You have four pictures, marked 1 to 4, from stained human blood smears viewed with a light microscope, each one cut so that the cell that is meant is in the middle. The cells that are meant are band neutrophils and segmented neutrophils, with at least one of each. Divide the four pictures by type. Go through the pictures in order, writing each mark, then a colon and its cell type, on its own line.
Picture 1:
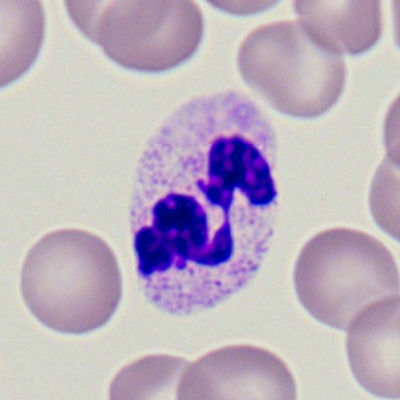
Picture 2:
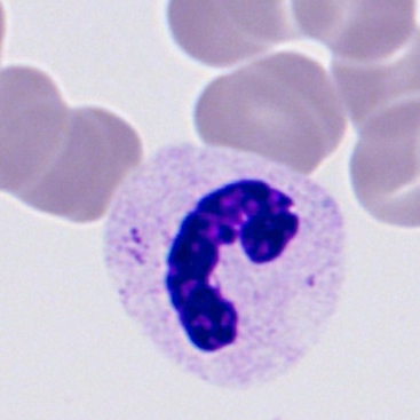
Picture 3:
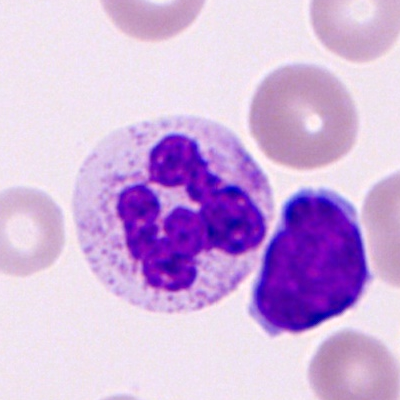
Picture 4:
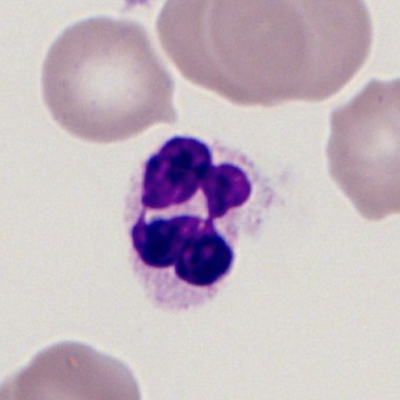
1: segmented neutrophil
2: band neutrophil
3: segmented neutrophil
4: segmented neutrophil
